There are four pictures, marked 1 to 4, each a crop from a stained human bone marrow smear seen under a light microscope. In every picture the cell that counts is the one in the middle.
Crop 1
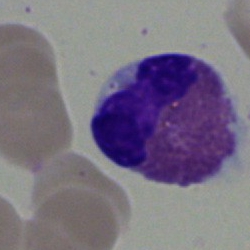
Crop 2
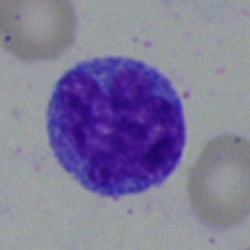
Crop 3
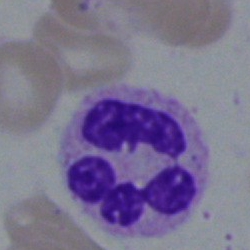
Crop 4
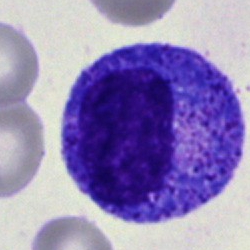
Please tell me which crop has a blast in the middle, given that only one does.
2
